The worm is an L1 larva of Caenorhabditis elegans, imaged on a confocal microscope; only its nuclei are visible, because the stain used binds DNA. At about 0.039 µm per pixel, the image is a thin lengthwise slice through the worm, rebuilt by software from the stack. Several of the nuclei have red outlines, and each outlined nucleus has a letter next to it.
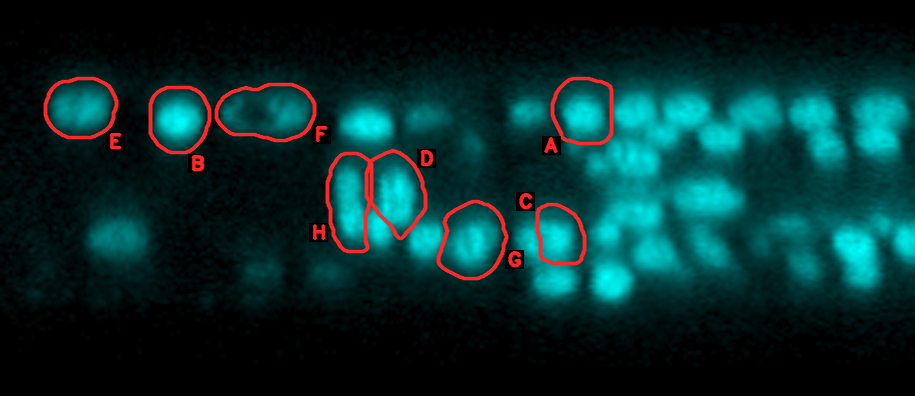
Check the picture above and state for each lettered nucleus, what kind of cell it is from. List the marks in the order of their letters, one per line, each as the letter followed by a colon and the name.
A: neuron
B: neuron
C: pharyngeal muscle cell
D: pharyngeal muscle cell
E: seam cell
F: hypodermal cell (hyp)
G: pharyngeal muscle cell
H: valve cell of the gut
